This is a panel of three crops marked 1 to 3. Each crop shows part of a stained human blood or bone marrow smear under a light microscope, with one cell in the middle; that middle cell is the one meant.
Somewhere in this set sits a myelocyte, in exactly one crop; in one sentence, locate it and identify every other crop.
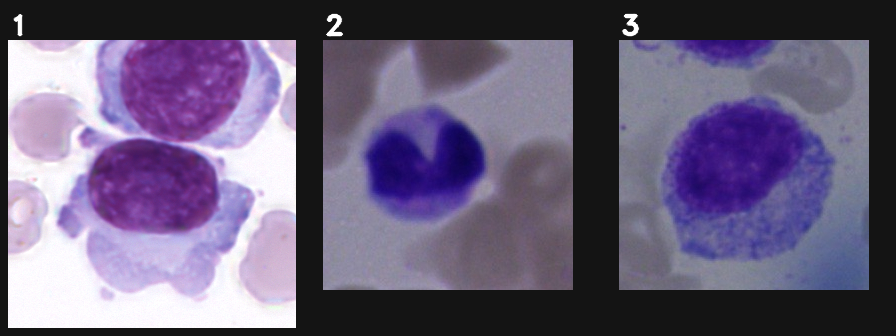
Whereas crop 1 is a plasma cell and crop 2 is a band neutrophil, the cell at the centre of crop 3 is a myelocyte.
